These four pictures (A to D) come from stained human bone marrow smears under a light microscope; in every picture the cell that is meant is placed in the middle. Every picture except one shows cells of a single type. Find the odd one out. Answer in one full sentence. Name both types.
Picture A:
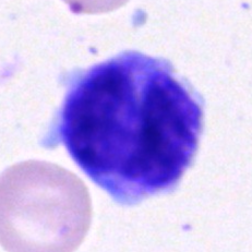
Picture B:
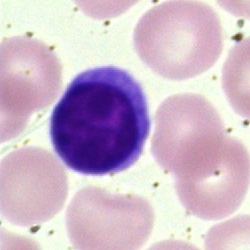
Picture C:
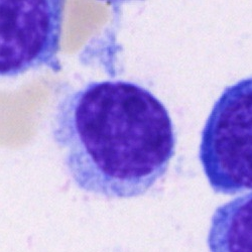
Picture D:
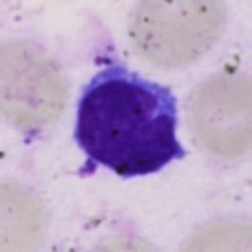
The others show lymphocytes, but picture A shows a monocyte.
